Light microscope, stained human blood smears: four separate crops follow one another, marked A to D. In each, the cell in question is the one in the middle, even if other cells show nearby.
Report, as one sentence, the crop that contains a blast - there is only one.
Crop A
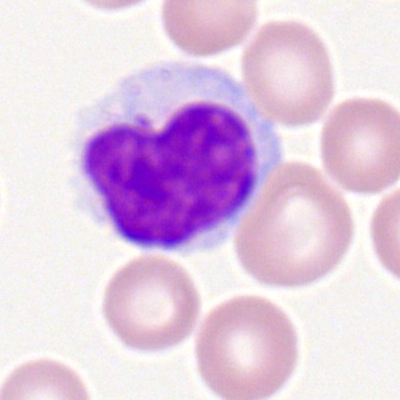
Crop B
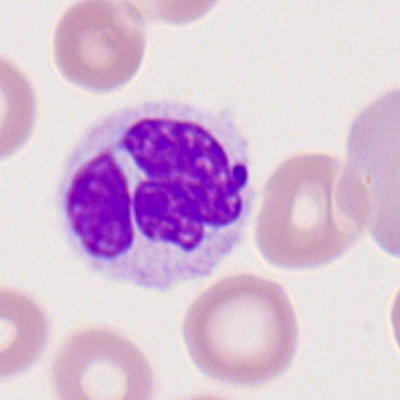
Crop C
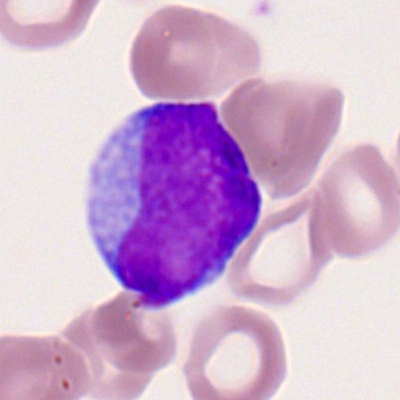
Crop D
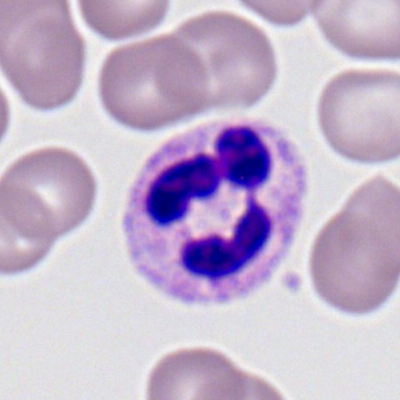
Crop C is the crop that displays a blast.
